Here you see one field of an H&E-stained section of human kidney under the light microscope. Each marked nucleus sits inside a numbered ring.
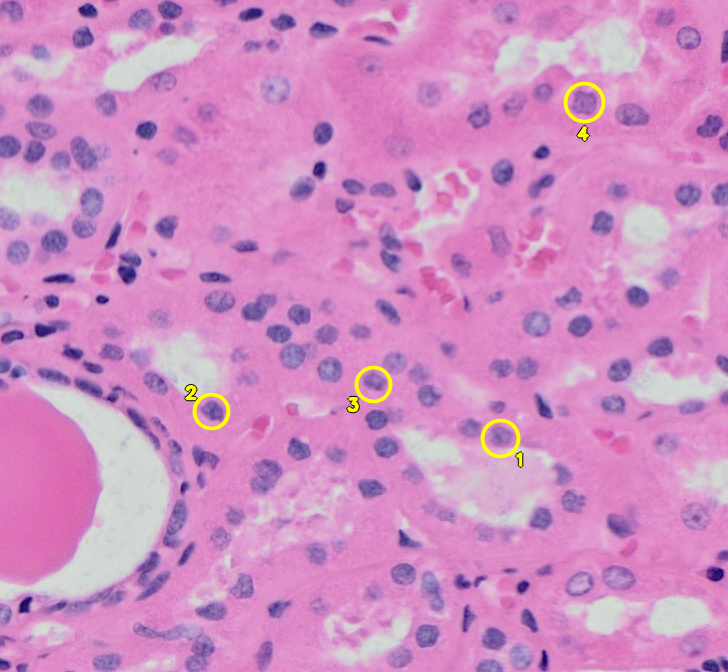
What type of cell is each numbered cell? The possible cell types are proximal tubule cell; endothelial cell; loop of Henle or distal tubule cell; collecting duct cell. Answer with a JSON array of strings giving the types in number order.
["loop of Henle or distal tubule cell", "loop of Henle or distal tubule cell", "loop of Henle or distal tubule cell", "proximal tubule cell"]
